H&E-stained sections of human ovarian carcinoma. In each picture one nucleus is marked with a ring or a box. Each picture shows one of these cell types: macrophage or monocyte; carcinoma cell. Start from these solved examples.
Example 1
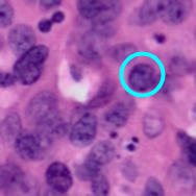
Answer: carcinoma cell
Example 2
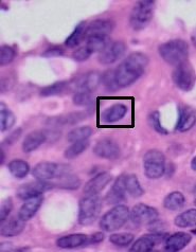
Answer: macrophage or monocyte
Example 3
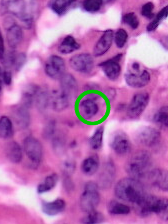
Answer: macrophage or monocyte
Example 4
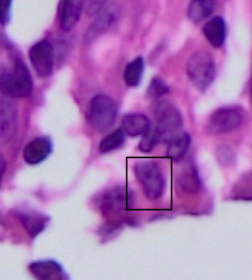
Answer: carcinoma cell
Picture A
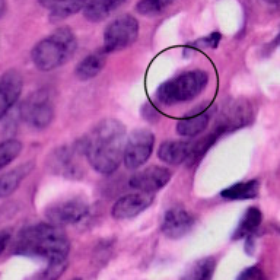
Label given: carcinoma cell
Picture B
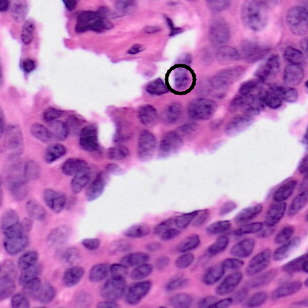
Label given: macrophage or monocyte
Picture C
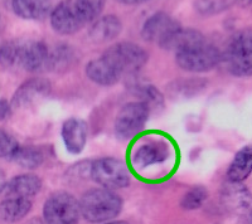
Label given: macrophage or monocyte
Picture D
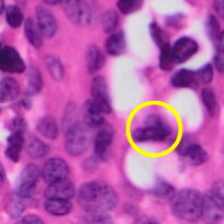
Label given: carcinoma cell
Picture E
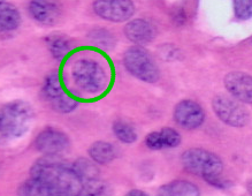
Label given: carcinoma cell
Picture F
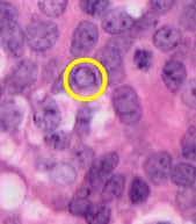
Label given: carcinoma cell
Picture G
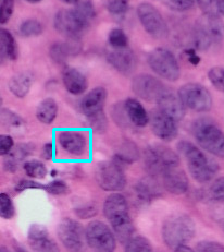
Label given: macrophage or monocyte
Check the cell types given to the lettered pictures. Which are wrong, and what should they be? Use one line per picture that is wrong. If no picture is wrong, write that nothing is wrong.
Nothing to fix; every label fits.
